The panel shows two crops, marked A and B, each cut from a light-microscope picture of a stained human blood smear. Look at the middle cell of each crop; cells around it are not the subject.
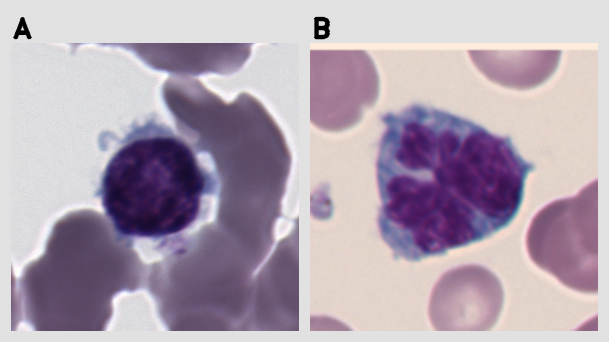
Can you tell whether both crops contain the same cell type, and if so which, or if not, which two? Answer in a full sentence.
No, crop A has a hairy cell at its center, and crop B has a myeloblast.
